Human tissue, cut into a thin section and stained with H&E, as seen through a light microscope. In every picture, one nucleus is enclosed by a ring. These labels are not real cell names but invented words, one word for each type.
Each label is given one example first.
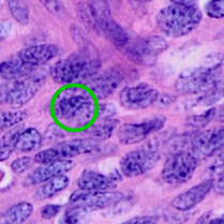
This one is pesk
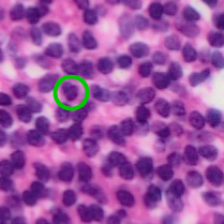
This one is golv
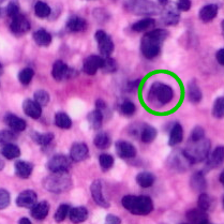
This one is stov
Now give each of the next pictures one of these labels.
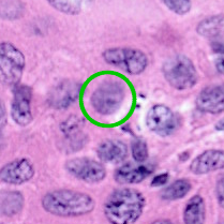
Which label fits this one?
pesk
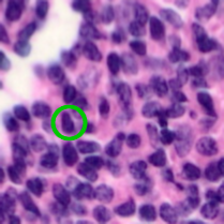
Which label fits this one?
golv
